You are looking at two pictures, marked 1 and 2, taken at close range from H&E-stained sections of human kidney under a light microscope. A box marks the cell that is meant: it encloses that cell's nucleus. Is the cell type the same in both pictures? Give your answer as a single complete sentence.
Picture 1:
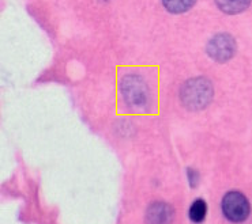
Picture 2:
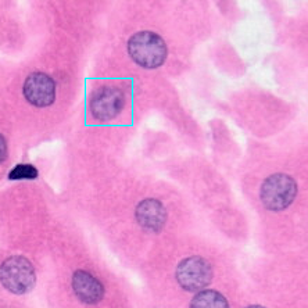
Yes; the cells in both pictures are proximal tubule cells.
